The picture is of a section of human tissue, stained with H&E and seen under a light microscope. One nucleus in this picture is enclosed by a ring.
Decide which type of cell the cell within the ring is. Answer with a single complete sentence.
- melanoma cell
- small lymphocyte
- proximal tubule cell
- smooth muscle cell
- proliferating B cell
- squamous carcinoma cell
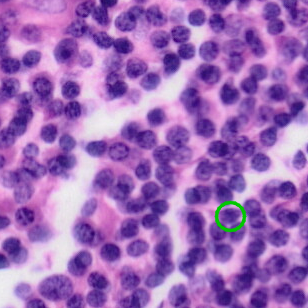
In short, the cell within the ring on this section is a small lymphocyte.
